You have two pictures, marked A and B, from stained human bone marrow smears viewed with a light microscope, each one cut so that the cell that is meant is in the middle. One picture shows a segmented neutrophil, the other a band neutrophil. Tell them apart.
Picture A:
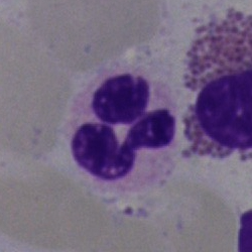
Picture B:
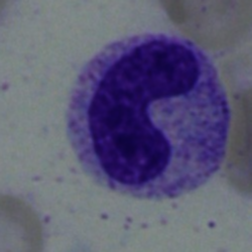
A: segmented neutrophil
B: band neutrophil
